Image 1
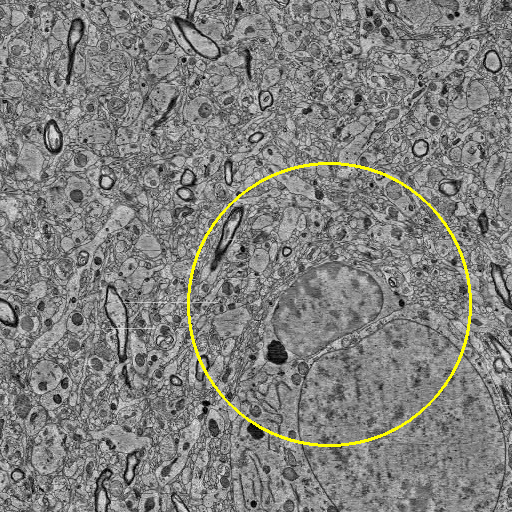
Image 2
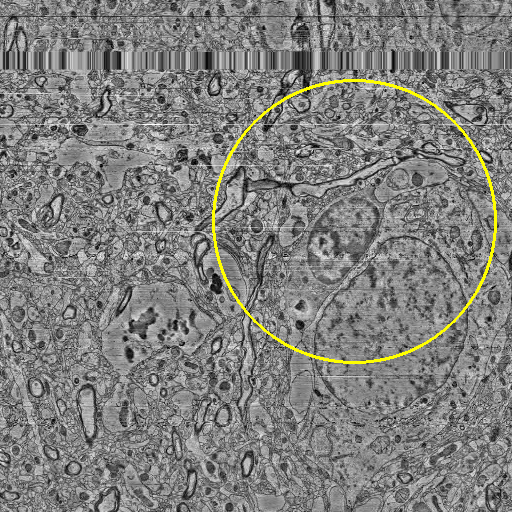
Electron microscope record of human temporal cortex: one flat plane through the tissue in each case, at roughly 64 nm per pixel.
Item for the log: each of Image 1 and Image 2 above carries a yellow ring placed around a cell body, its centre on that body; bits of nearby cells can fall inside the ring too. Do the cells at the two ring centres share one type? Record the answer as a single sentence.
Yes, the two cells at the ring centres in Image 1 and Image 2 share one type.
